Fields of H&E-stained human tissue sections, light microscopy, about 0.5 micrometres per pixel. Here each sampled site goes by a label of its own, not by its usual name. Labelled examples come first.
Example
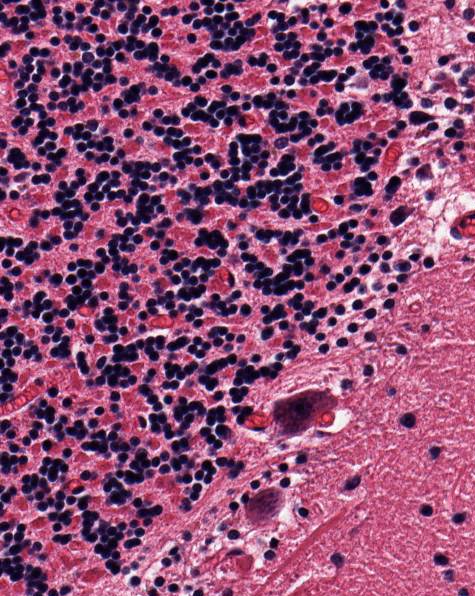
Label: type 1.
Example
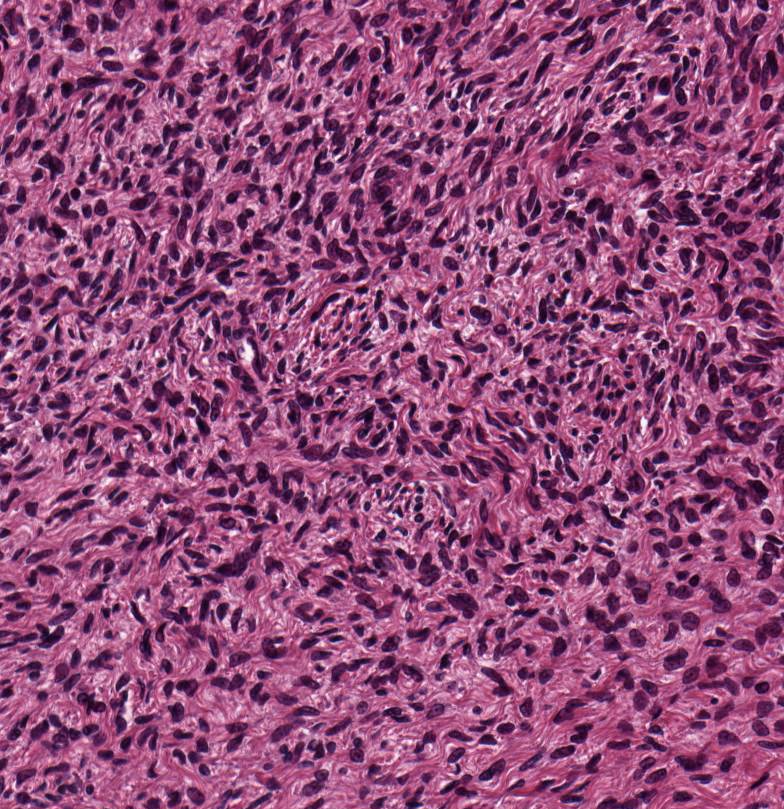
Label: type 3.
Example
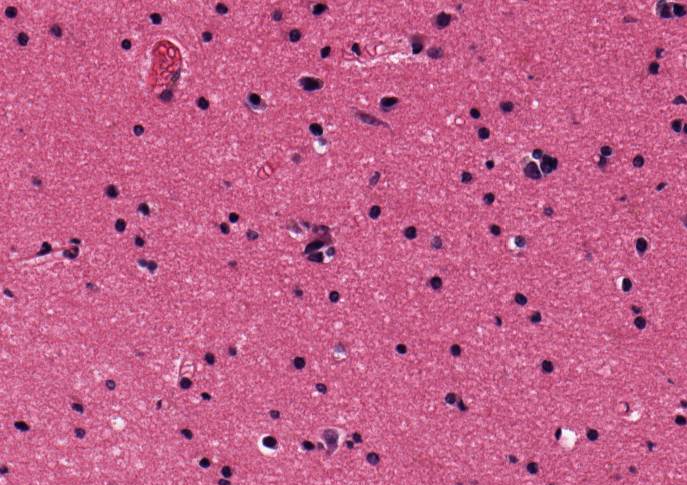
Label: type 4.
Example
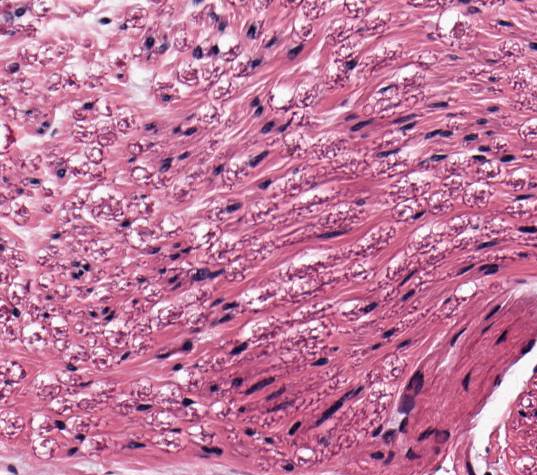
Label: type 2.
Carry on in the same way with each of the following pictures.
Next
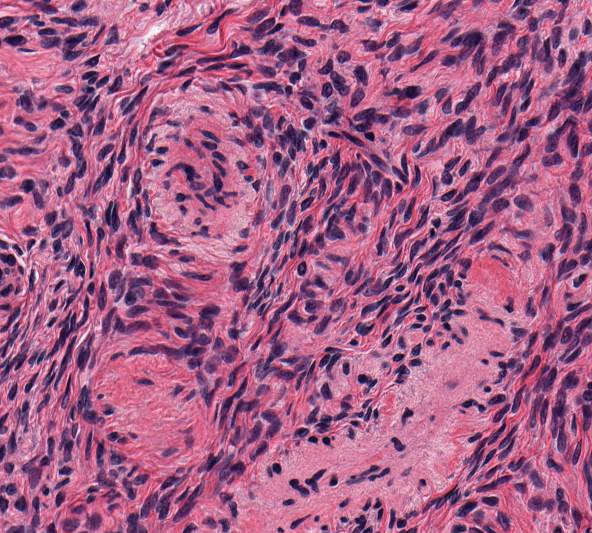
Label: type 3.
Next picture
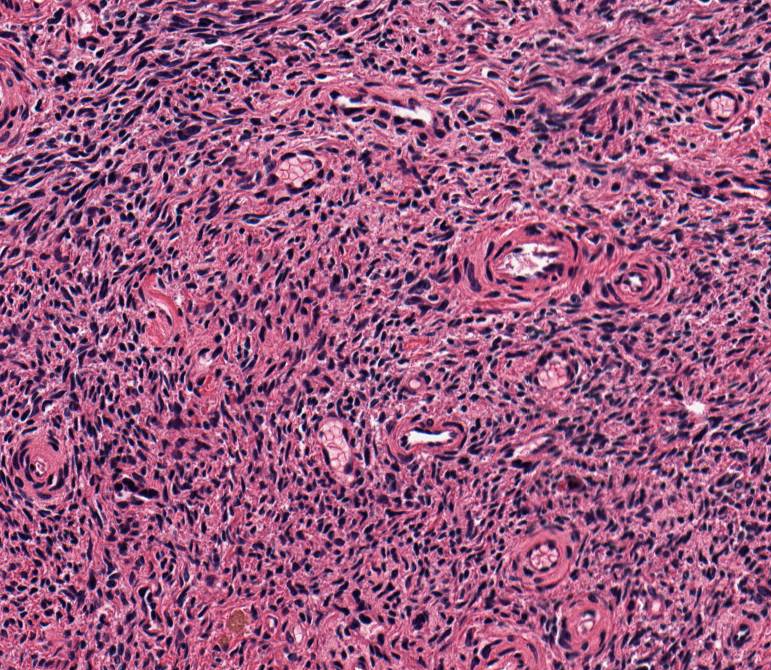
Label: type 3.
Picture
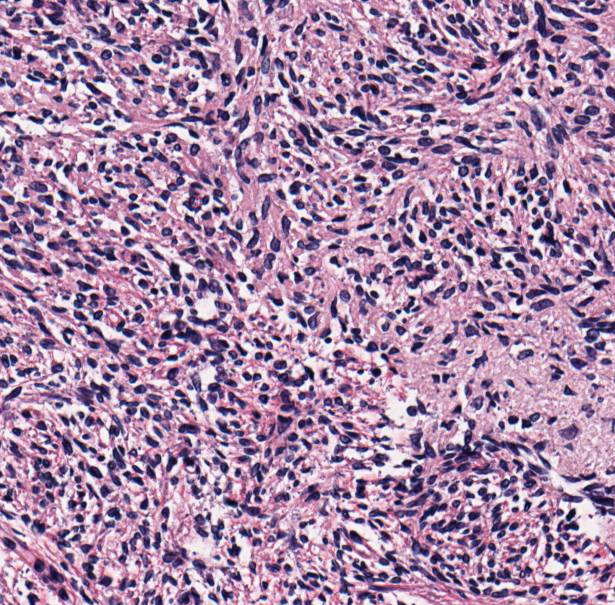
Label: type 3.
